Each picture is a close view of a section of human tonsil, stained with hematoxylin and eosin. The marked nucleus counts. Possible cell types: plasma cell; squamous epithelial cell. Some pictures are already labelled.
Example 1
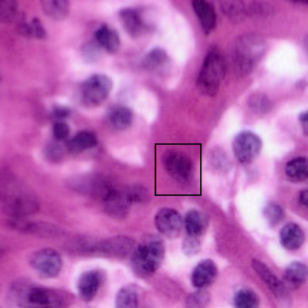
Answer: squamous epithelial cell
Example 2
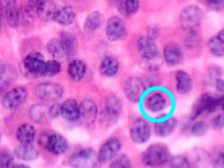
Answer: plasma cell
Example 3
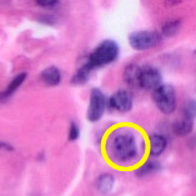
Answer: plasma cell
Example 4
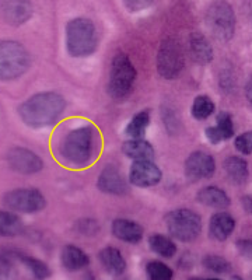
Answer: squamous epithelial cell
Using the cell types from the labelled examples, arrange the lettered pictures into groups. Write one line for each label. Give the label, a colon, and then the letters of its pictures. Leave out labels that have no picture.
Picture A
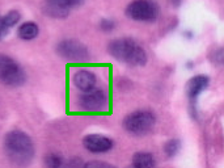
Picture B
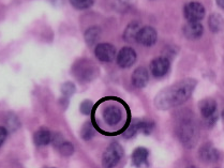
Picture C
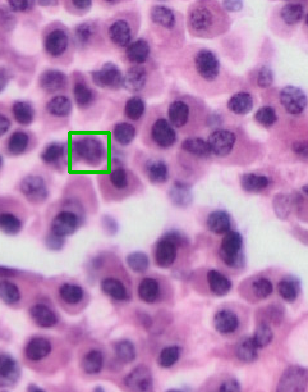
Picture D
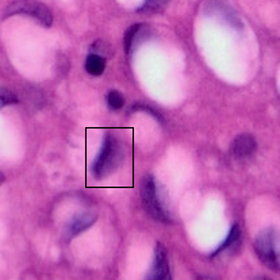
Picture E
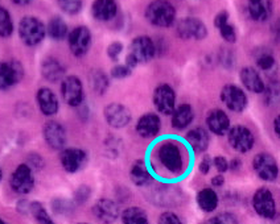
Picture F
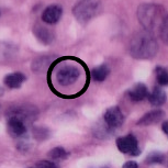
plasma cell: B, C, E
squamous epithelial cell: A, D, F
